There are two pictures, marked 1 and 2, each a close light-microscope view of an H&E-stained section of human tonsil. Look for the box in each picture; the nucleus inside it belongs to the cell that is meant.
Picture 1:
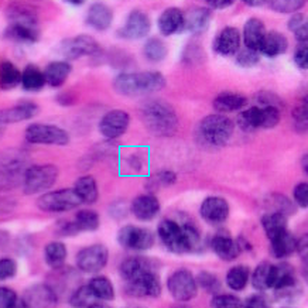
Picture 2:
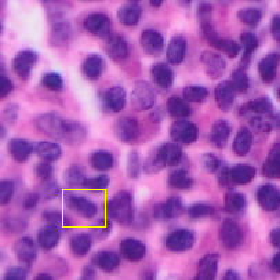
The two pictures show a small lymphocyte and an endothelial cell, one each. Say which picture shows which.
1: endothelial cell
2: small lymphocyte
